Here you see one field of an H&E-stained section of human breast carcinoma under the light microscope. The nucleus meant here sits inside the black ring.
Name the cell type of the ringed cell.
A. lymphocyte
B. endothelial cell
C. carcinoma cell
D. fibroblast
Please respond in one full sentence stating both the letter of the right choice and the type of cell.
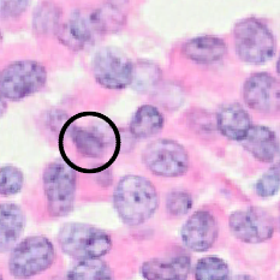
Option C, which has the ringed cell as a carcinoma cell, is the correct choice.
